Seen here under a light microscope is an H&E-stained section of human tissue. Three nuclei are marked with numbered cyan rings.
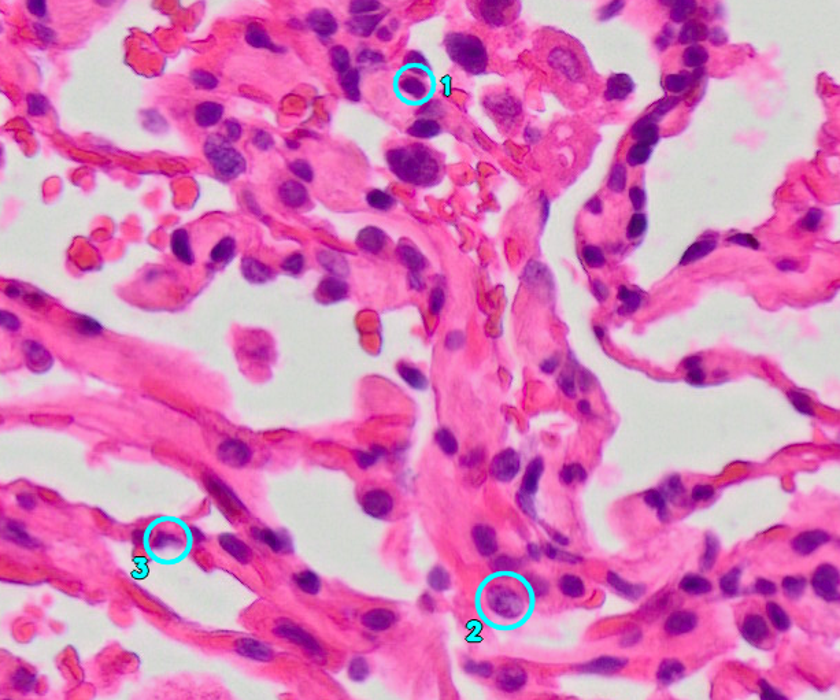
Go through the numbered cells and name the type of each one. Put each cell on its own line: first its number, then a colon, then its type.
1: lymphocyte
2: type I pneumocyte
3: type I pneumocyte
